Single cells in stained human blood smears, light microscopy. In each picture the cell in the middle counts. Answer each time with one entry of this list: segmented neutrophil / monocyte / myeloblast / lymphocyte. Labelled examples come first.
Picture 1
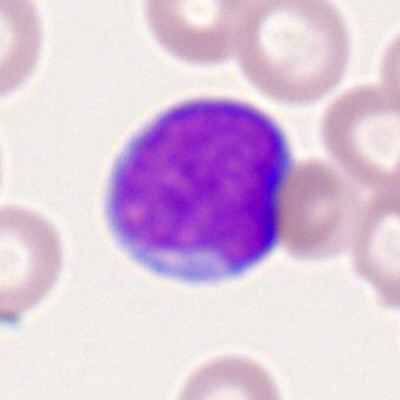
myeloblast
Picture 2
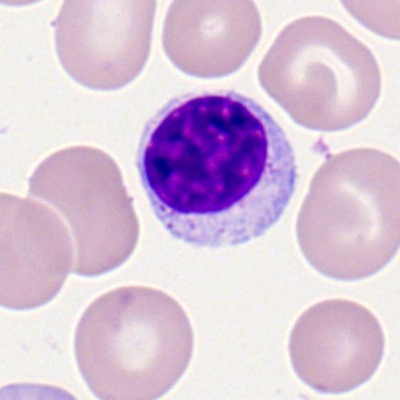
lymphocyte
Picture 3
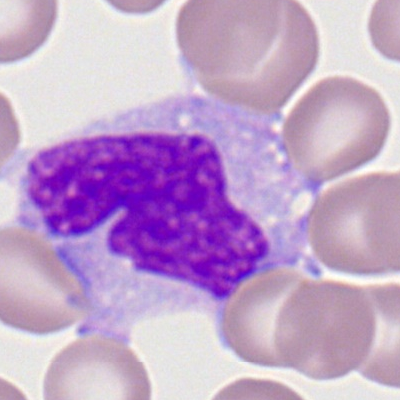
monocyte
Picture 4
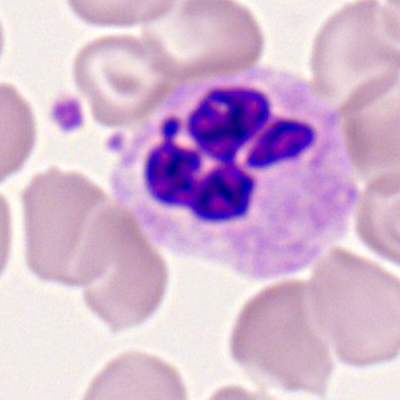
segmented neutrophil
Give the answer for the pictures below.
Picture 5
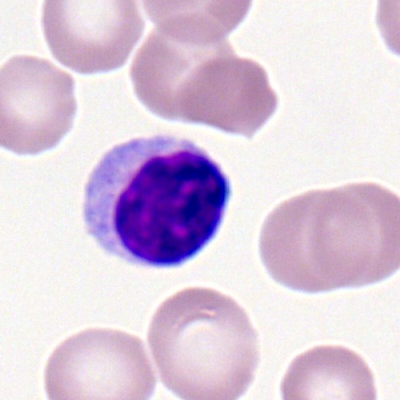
lymphocyte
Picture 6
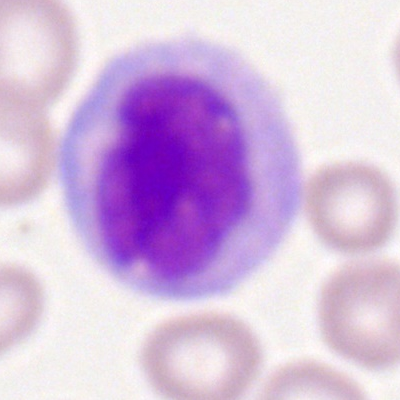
monocyte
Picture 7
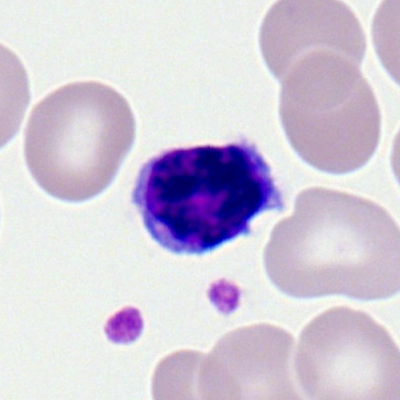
lymphocyte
